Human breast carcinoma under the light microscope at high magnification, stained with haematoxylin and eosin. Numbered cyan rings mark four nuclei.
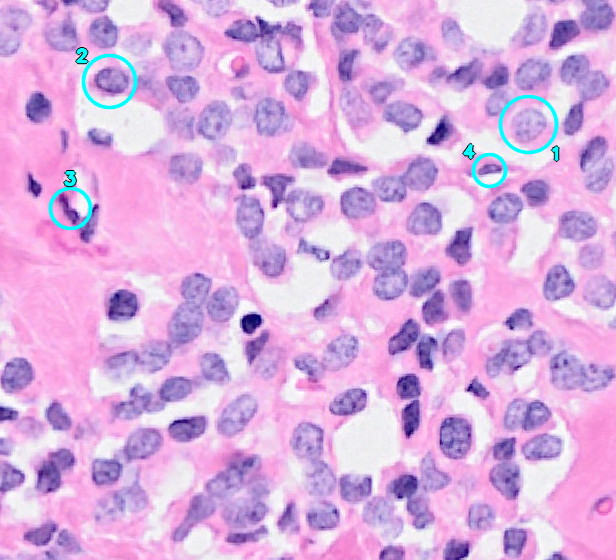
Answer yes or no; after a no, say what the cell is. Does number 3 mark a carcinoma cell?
No, it is an endothelial cell.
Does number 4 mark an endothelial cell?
Yes.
